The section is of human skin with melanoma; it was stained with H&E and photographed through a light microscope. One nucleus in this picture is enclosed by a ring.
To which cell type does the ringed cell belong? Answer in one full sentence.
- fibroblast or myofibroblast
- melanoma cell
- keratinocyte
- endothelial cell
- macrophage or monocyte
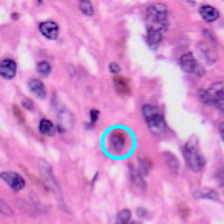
In the stained section, the ringed cell is a macrophage or monocyte.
